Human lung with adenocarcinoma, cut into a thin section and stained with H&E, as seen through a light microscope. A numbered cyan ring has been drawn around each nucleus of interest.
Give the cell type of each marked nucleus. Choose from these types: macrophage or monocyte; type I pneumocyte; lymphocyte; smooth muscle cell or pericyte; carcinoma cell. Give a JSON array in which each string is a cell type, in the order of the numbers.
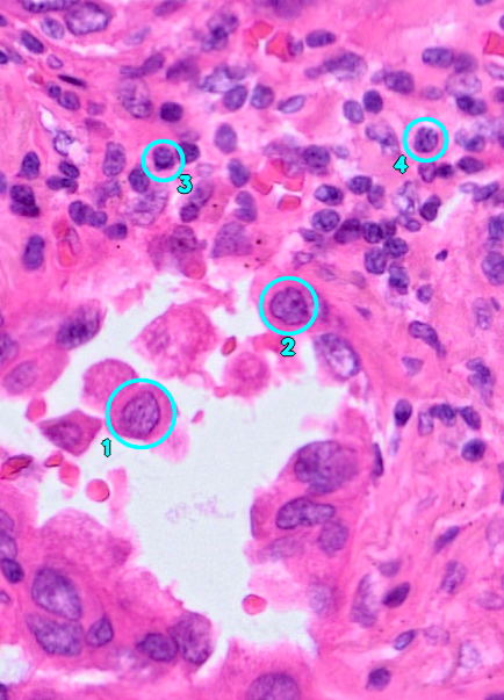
["carcinoma cell", "carcinoma cell", "lymphocyte", "lymphocyte"]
